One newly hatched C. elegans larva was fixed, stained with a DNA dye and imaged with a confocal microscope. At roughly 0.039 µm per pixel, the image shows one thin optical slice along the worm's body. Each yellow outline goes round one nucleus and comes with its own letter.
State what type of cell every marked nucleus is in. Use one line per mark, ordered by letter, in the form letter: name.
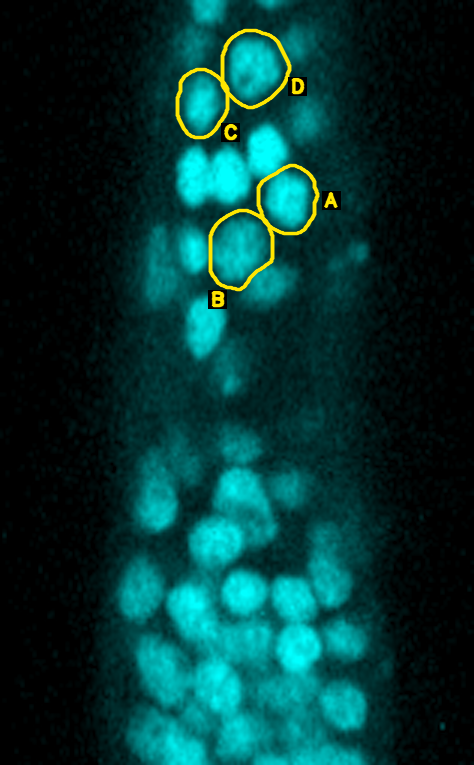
A: glial cell (sheath or socket)
B: neuron
C: hypodermal cell (hyp)
D: seam cell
